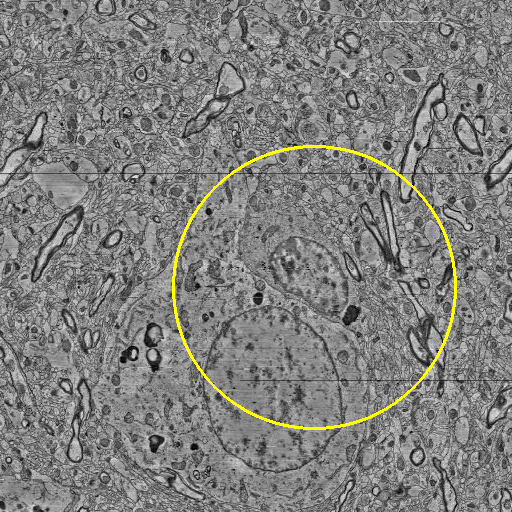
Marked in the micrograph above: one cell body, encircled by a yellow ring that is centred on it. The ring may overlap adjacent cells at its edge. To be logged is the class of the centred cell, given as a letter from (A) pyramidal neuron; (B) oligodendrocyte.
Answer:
B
